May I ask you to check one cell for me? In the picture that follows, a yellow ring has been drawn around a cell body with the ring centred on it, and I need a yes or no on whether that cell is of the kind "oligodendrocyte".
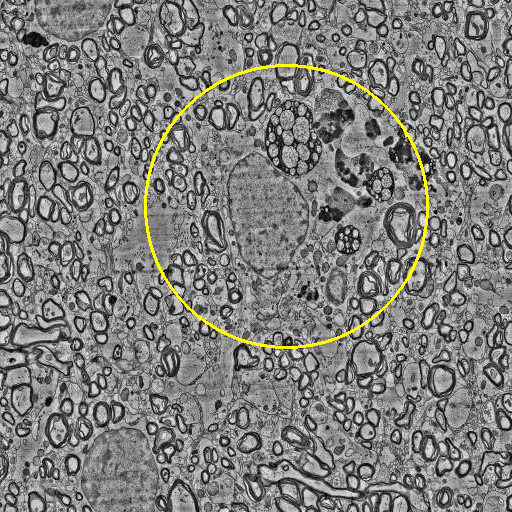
No, it is some other kind of cell.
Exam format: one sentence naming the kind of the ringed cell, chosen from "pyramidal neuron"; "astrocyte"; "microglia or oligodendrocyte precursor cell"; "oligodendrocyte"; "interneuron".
Instead, the cell at the centre of the ring is an astrocyte.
